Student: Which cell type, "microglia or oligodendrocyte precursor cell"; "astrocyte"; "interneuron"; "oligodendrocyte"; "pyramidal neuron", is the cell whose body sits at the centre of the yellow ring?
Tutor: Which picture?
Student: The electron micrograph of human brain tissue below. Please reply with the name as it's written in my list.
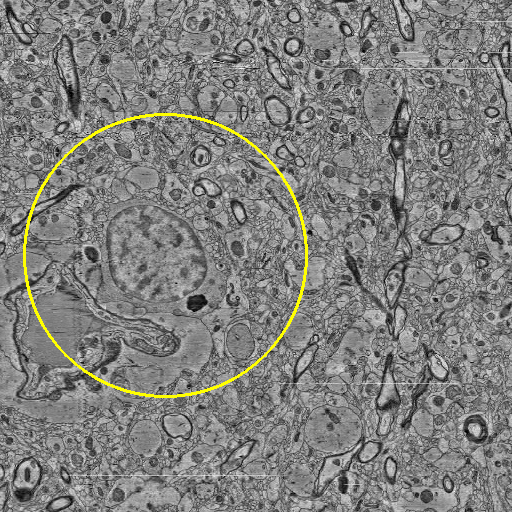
oligodendrocyte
